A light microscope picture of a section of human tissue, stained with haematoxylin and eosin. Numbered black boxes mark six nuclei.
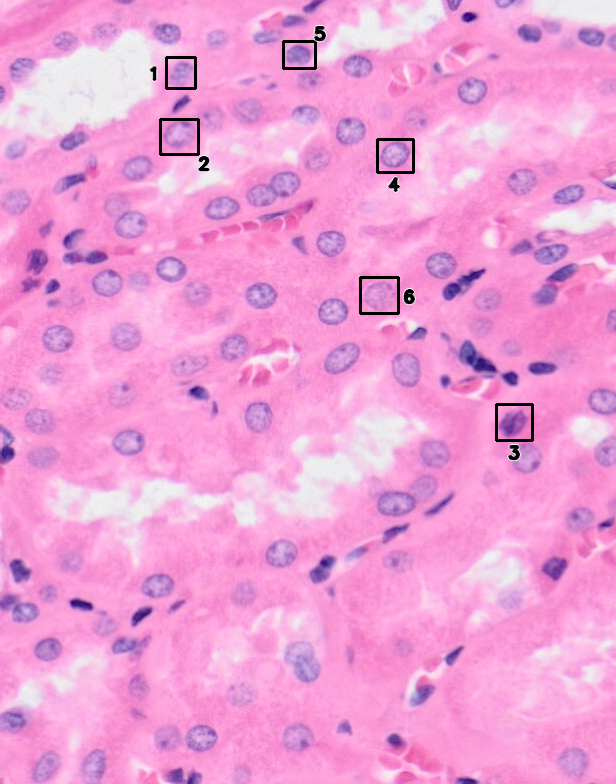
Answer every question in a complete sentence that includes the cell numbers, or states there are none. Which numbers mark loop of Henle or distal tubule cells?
Cells that were given the numbers 1 and 5 are loop of Henle or distal tubule cells.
